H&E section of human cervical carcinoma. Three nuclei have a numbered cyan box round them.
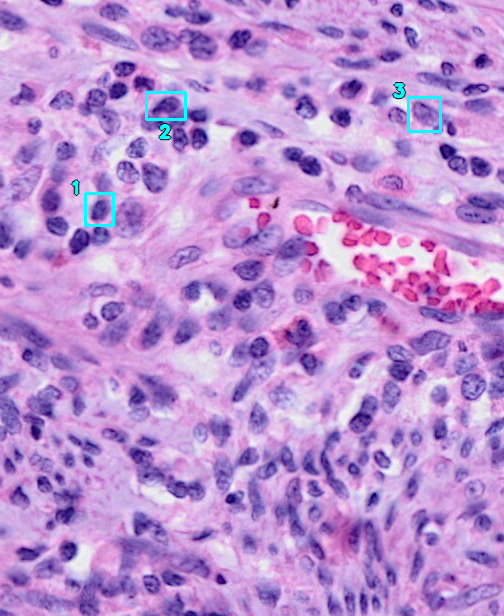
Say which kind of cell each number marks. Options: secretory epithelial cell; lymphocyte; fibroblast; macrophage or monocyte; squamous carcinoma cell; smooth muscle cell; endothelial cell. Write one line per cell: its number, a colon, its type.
1: lymphocyte
2: lymphocyte
3: macrophage or monocyte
